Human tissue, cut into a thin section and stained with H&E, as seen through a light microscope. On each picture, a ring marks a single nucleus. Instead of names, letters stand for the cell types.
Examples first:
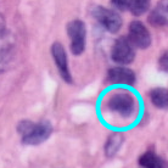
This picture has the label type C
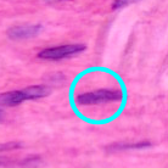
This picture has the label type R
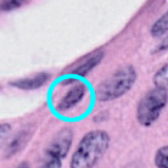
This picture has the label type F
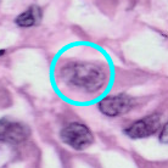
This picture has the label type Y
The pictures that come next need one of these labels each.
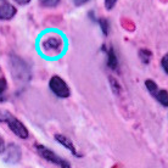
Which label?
type C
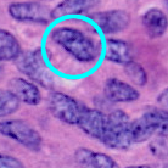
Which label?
type F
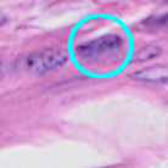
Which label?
type F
